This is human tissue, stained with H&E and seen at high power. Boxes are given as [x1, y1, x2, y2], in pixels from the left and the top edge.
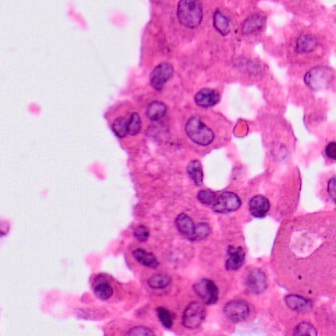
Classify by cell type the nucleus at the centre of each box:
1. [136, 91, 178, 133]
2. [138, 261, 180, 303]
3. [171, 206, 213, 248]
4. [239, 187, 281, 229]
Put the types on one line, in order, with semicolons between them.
macrophage or monocyte; macrophage or monocyte; macrophage or monocyte; lymphocyte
